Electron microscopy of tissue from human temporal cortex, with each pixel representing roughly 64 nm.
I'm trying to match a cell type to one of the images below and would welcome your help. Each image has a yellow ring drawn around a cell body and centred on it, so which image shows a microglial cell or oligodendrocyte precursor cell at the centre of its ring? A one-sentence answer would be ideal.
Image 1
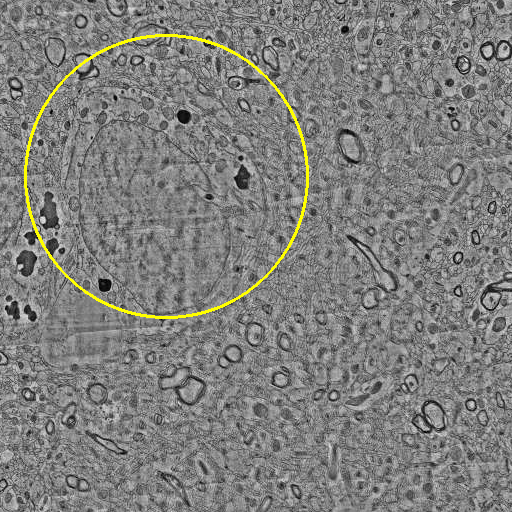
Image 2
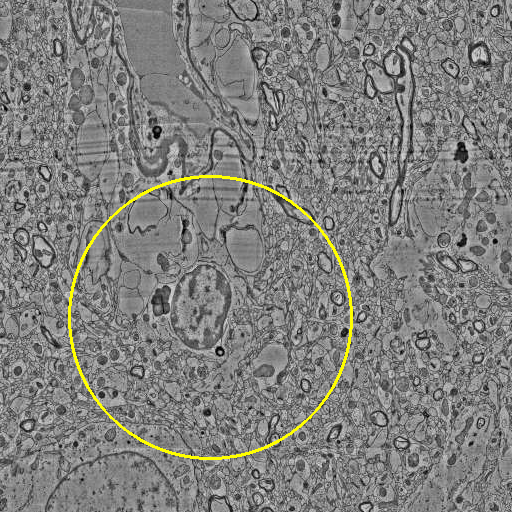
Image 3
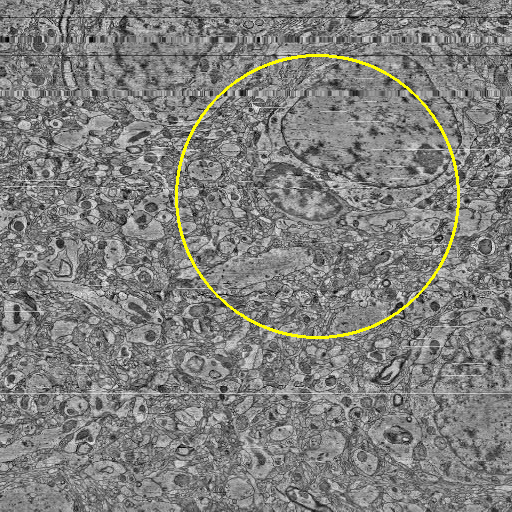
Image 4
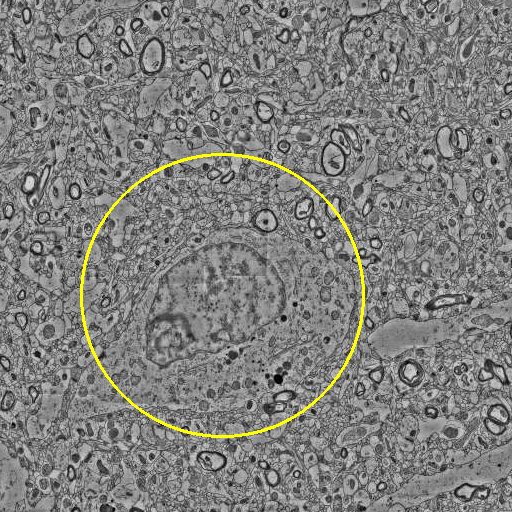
Image 2 shows it at the centre of the ring.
